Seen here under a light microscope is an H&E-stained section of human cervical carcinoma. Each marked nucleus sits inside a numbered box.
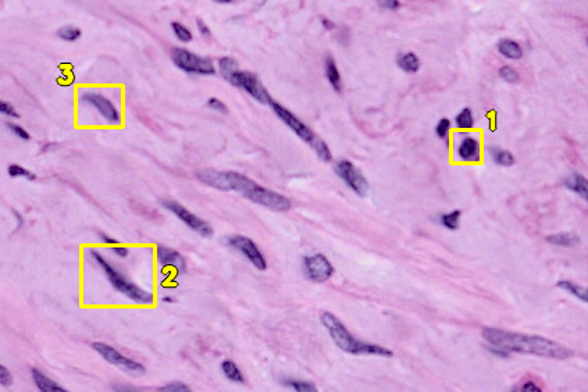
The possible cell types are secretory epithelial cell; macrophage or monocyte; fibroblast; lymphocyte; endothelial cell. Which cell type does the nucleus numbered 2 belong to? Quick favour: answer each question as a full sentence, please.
The correct answer for cell 2 is a fibroblast.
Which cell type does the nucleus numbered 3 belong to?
The identity of cell 3 is that of a fibroblast.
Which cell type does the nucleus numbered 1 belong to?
In the tissue shown, cell 1 is a lymphocyte.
